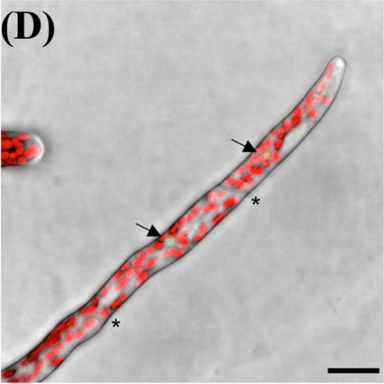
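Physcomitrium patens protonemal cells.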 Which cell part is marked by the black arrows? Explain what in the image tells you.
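The arrows point to small green spots within the filament. The spots sit among the red oval bodies.
Hence: nuclei.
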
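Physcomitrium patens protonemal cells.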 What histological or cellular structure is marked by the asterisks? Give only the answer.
filament intercalary cell walls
